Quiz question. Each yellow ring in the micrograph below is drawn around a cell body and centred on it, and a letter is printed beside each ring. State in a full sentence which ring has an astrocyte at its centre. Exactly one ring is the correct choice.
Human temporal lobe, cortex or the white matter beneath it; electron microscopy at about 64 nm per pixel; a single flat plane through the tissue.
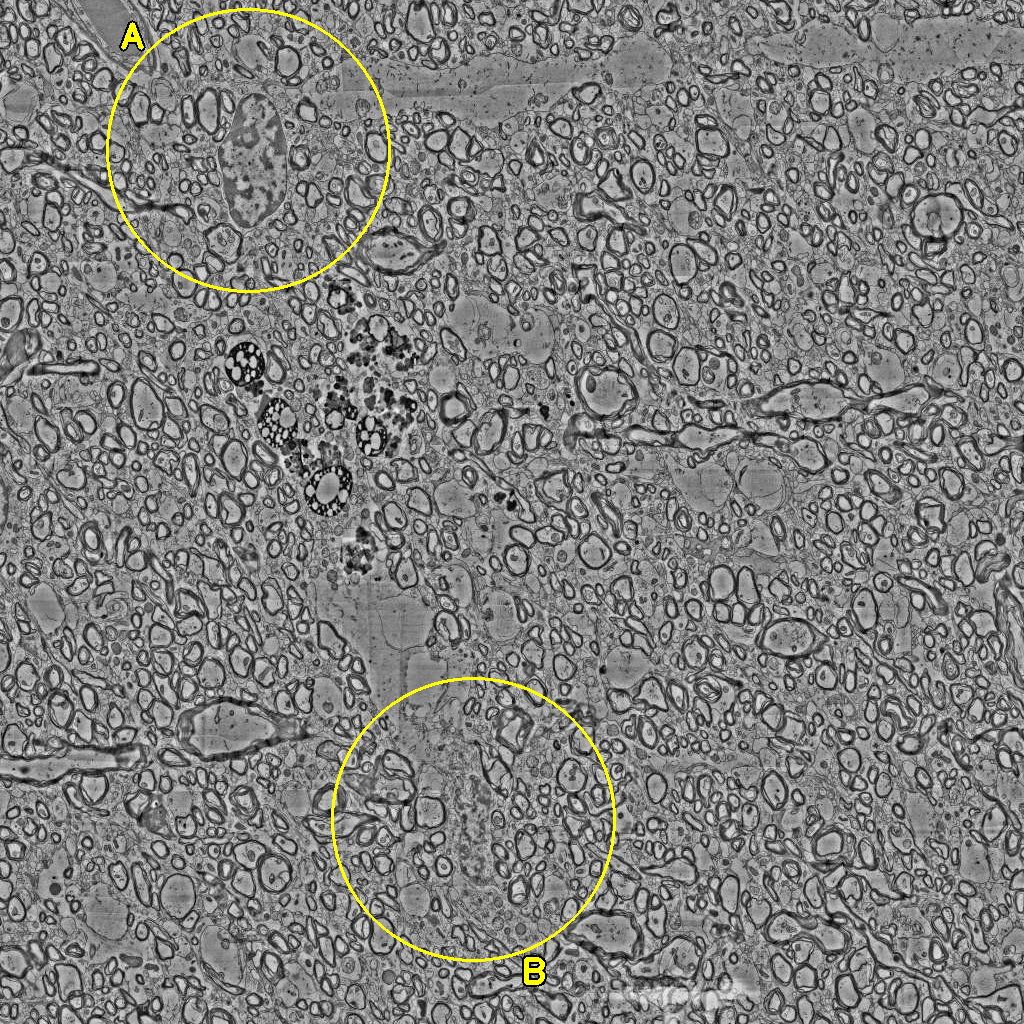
The correct ring is ring B.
